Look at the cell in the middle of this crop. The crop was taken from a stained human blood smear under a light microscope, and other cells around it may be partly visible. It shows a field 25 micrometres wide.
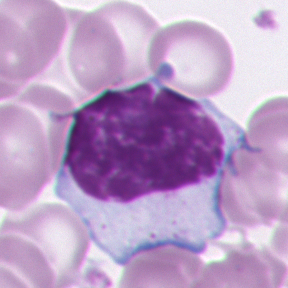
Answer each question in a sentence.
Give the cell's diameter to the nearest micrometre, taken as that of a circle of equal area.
The cell is about 13 micrometres across.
